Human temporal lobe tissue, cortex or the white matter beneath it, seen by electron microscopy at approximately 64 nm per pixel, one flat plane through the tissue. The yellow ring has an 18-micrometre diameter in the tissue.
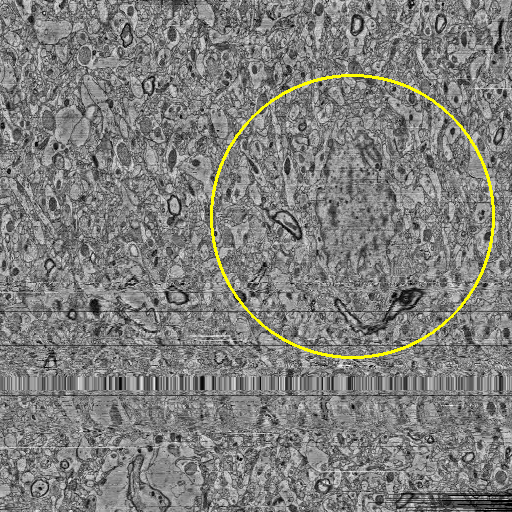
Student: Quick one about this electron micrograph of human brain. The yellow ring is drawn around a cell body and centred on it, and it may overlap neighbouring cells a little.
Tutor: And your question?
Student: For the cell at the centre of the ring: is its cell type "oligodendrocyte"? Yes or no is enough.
no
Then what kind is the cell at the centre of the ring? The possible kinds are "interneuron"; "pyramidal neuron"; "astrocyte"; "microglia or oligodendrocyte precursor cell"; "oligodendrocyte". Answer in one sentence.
It is an interneuron at the centre of the ring.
